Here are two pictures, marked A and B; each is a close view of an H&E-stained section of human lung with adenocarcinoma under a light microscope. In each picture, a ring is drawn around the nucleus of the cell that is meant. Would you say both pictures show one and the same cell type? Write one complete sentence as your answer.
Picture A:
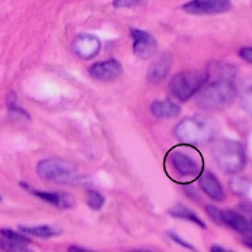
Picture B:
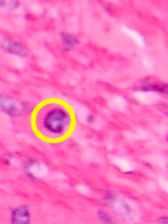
No. Picture A shows a ciliated epithelial cell, but picture B shows a mast cell.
